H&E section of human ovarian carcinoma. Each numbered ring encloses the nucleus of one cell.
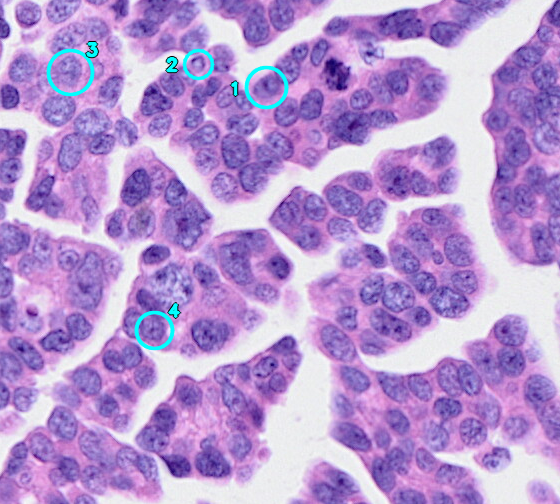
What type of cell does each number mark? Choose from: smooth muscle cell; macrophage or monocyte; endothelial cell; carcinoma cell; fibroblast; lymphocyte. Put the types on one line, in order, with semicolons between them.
carcinoma cell; macrophage or monocyte; carcinoma cell; carcinoma cell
